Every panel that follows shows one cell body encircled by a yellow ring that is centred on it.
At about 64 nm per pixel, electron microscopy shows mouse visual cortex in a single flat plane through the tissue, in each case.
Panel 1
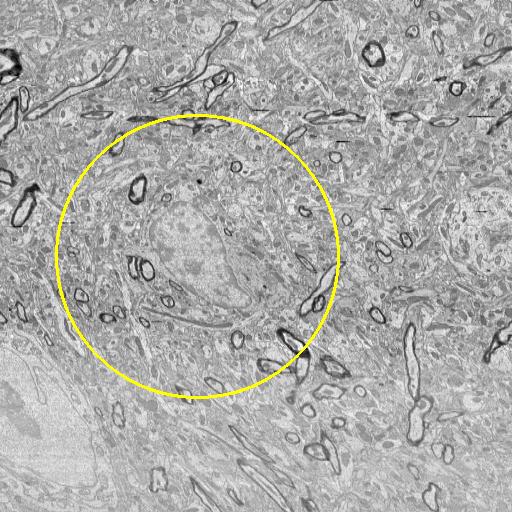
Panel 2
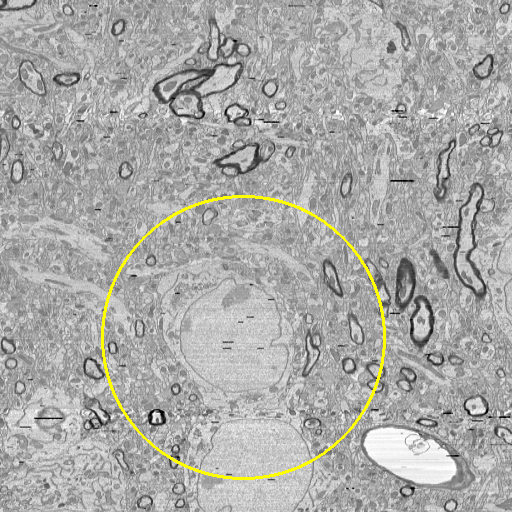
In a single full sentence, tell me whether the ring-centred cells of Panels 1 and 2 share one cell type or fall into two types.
In Panel 1 and Panel 2, the cells at the ring centres fall into two types.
